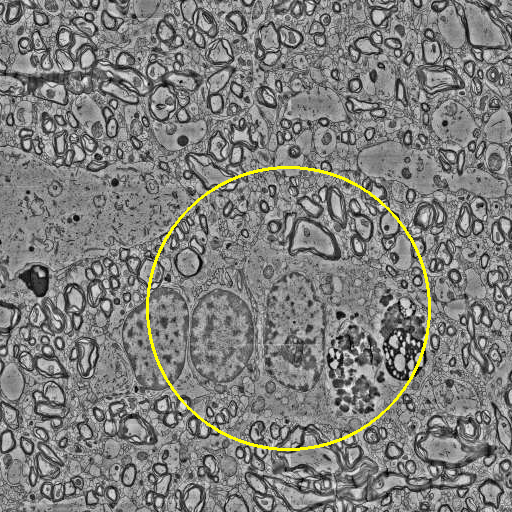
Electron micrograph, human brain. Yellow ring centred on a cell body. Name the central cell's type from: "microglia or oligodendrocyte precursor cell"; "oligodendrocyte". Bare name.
oligodendrocyte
